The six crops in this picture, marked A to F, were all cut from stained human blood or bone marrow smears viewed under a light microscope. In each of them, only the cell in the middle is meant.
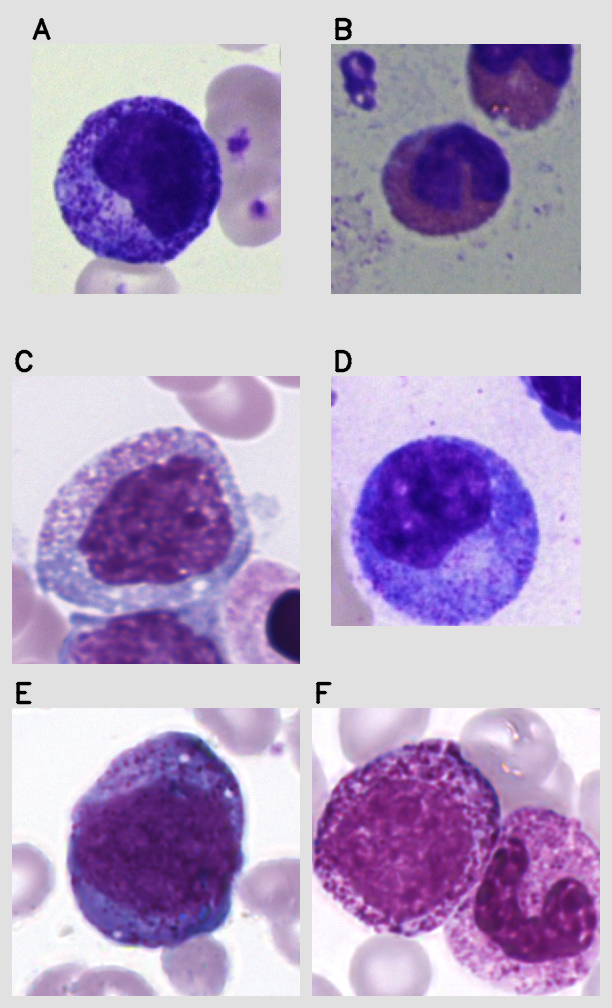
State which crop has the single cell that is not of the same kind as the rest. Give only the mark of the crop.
B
